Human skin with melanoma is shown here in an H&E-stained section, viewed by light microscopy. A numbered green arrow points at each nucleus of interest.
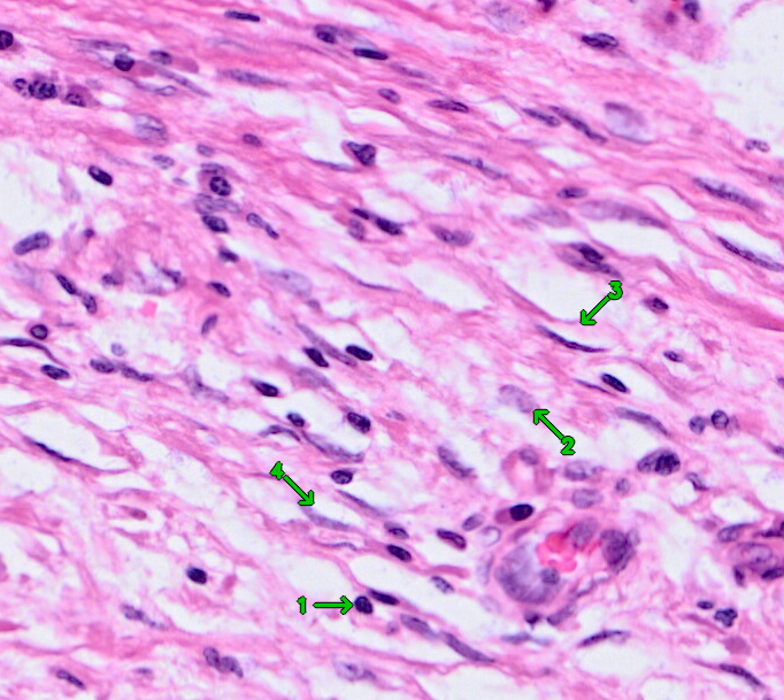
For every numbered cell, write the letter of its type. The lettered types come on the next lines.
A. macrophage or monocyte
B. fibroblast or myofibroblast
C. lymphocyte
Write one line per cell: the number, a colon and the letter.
1: C
2: B
3: B
4: B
